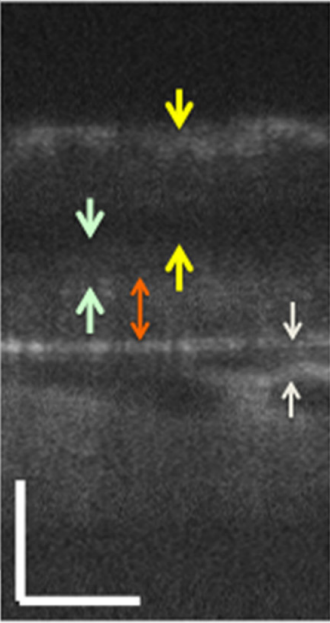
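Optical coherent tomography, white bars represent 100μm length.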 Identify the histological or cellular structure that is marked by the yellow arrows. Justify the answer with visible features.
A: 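The yellow arrows bracket the uppermost thick band of the retina. Its upper edge is a bright line facing the dark space above.
Inner retinal layer.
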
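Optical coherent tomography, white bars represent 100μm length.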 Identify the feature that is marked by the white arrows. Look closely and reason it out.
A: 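The white arrows bracket the deepest layers of the retina. A thin, very bright horizontal line lies between them.
Retinal pigment epithelium and choroid.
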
